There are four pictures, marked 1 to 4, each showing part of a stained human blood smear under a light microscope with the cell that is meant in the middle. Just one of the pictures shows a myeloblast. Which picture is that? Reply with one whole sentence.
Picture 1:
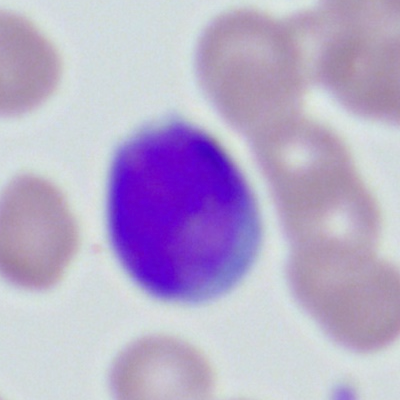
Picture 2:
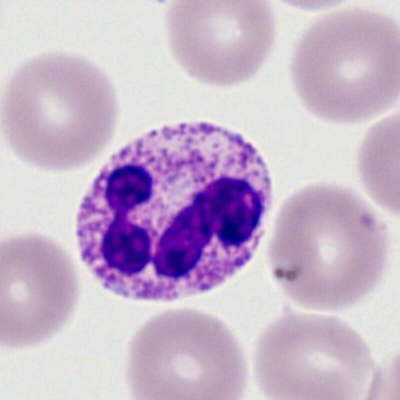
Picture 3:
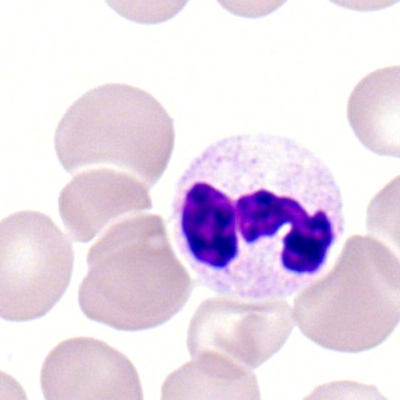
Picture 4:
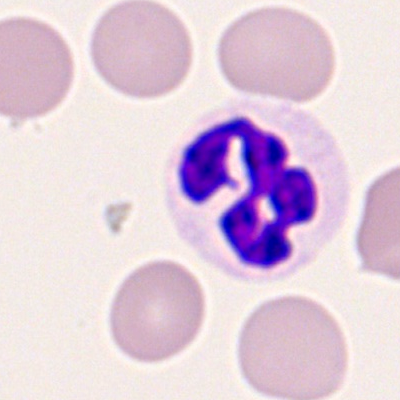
The cell in picture 1 is the myeloblast.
